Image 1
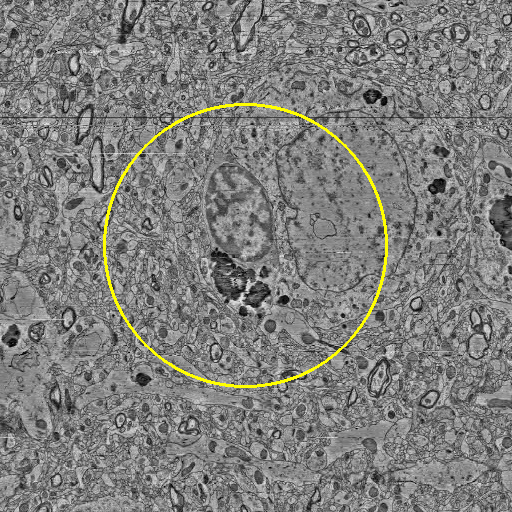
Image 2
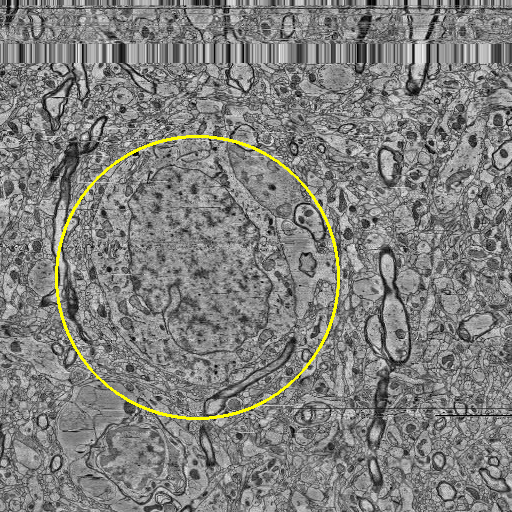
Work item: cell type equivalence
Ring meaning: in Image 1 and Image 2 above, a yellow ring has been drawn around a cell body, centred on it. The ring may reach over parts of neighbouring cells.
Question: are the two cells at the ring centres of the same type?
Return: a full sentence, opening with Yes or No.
No, the two centred cells are of two types.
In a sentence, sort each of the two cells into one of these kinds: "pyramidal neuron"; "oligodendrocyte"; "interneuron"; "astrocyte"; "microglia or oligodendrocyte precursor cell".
The first of the two cells is an oligodendrocyte, and the second is a pyramidal neuron.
